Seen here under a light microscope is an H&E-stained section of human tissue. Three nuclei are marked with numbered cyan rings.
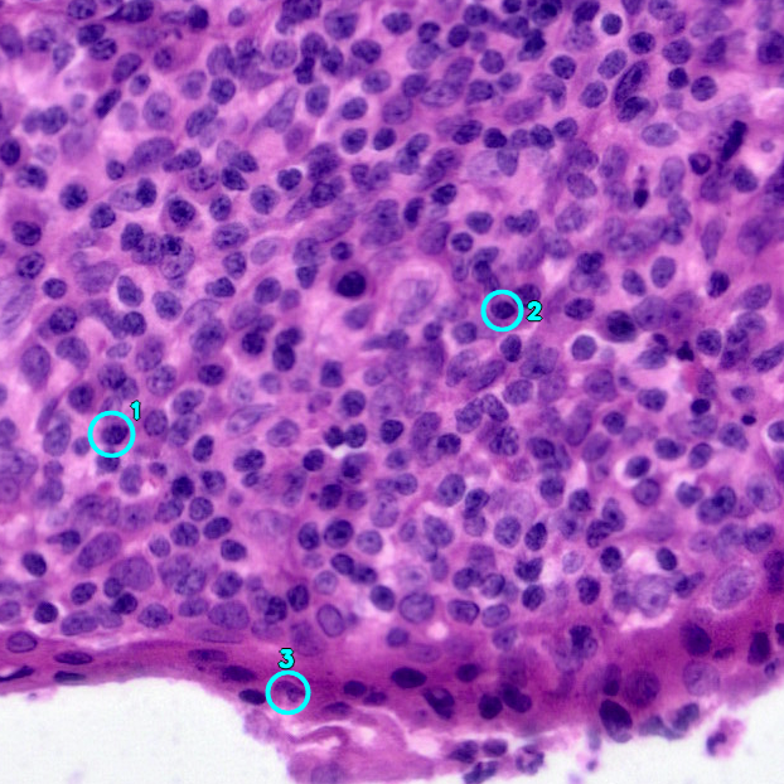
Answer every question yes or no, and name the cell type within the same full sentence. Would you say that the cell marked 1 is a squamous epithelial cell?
No, cell 1 is not a squamous epithelial cell at all but a plasma cell.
